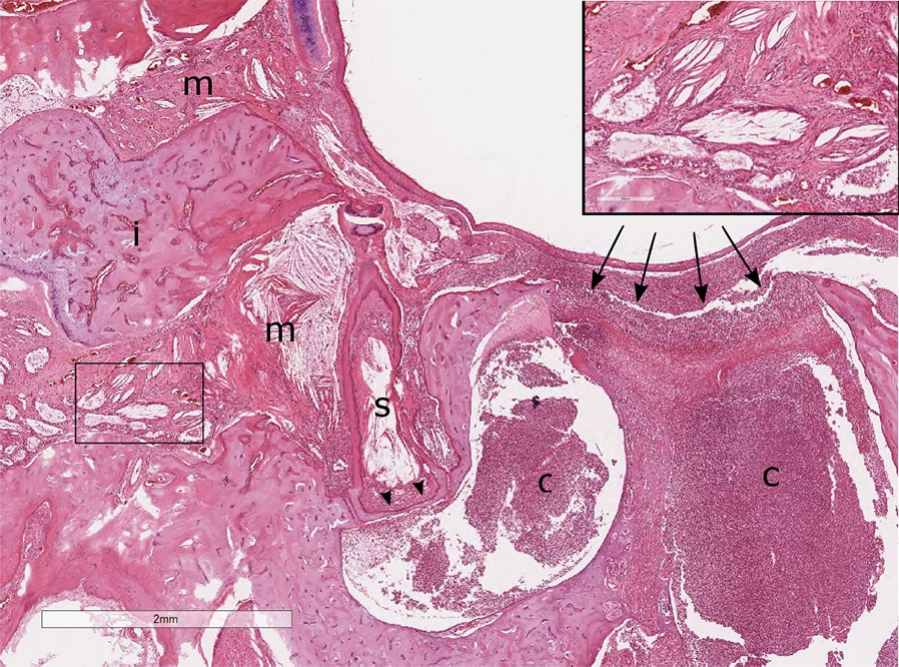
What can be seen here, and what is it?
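This low-power section through the temporal bone shows dense pink bone surrounding the middle ear and inner ear cavities. The middle ear space is largely filled with pink fibrous connective tissue containing small blood vessels and numerous clear, needle-shaped cholesterol clefts, shown at higher magnification in the inset. Small ossicles lie within this fibrous tissue, one of them a slender hollow bone whose base sits in an opening of the surrounding bone. To the right, bony cavities are packed with sheets of small cells with dark purple nuclei, an abundant inflammatory infiltrate. Along the upper surface, beneath a thin layered lining, the underlying bone is irregular and partly eroded.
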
